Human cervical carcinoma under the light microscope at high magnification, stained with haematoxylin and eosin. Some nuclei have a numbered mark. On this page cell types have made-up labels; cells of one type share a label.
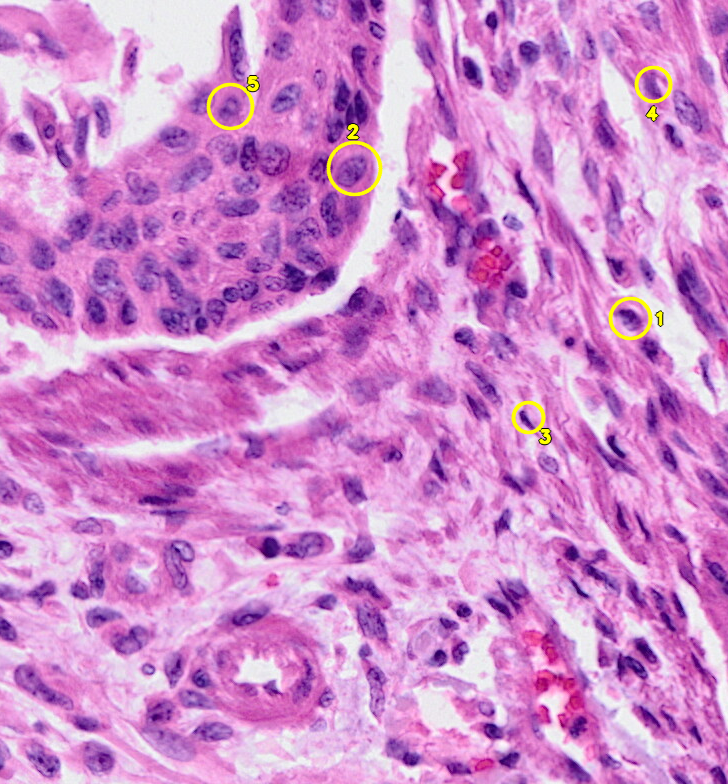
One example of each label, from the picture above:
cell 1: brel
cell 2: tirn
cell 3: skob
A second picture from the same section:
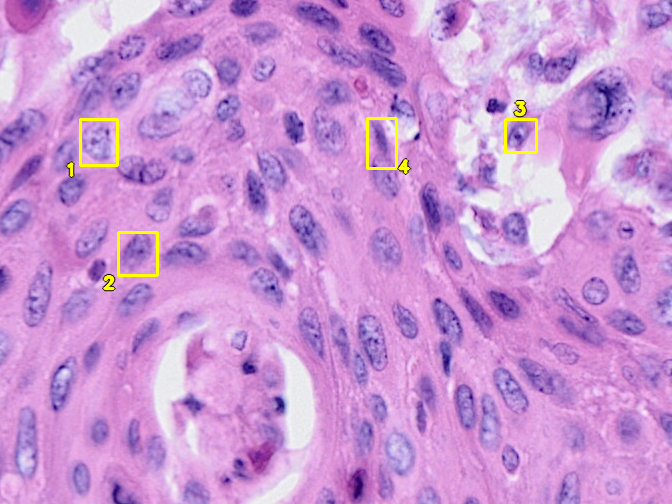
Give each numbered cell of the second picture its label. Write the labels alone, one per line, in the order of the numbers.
tirn
tirn
brel
tirn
